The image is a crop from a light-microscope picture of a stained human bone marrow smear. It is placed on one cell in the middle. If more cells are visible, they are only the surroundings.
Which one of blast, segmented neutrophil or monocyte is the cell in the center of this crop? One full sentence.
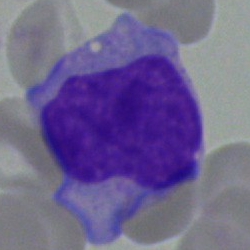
Located at the centre of the crop is a blast.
